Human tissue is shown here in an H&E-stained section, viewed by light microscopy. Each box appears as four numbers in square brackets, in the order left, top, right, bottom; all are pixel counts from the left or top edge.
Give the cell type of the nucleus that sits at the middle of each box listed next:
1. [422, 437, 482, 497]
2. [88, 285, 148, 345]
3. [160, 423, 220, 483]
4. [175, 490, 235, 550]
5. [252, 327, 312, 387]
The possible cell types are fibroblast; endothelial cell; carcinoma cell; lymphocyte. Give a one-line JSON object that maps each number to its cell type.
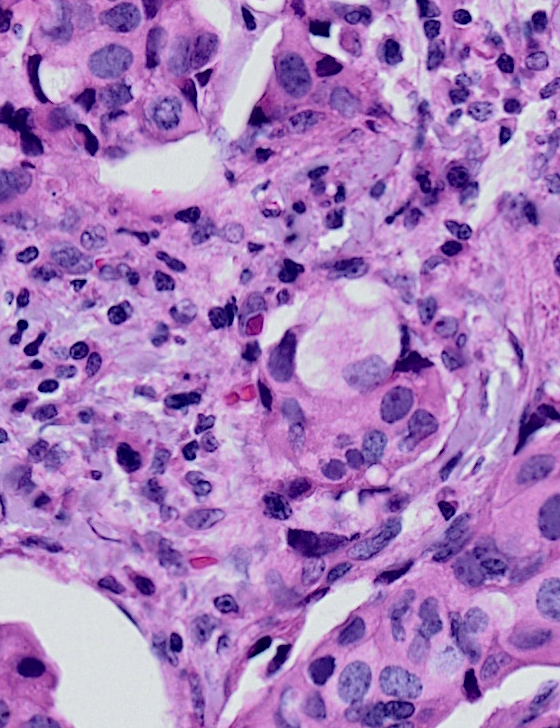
{"1": "fibroblast", "2": "lymphocyte", "3": "lymphocyte", "4": "endothelial cell", "5": "carcinoma cell"}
